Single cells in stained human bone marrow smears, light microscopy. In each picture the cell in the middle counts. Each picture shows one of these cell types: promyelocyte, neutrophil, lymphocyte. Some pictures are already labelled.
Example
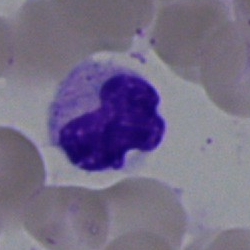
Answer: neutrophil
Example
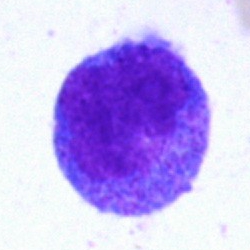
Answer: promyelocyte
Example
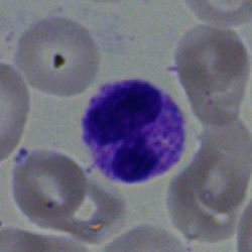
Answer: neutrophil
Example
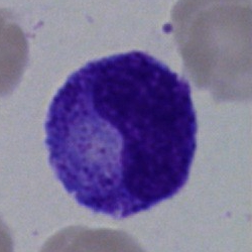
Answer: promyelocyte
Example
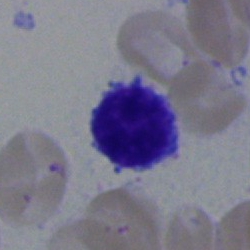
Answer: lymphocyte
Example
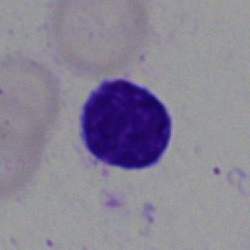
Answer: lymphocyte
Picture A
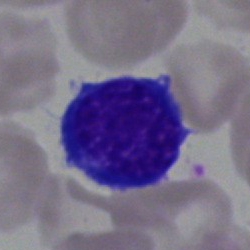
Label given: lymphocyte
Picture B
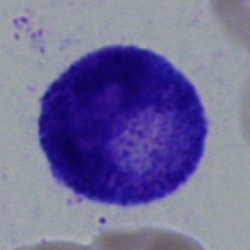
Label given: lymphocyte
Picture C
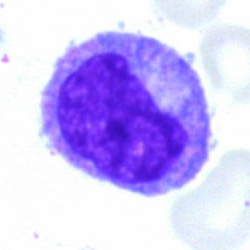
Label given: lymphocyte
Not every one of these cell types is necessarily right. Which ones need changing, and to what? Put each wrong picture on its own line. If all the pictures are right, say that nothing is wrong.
B: not lymphocyte but promyelocyte
C: not lymphocyte but promyelocyte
